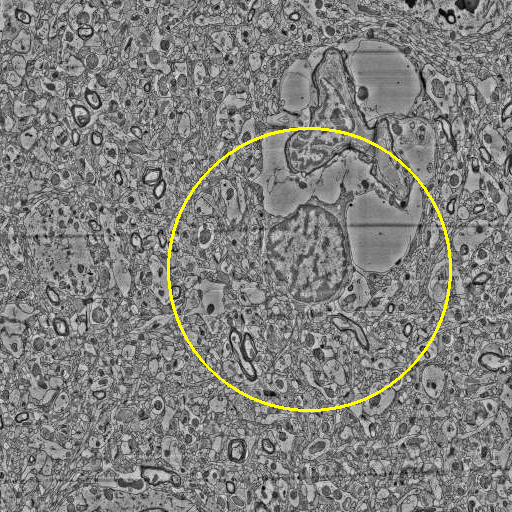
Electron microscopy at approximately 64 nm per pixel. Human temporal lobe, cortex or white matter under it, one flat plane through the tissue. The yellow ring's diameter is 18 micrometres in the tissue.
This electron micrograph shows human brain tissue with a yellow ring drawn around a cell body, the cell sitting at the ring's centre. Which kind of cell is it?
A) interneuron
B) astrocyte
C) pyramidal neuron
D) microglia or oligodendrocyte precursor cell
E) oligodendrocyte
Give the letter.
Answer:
E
